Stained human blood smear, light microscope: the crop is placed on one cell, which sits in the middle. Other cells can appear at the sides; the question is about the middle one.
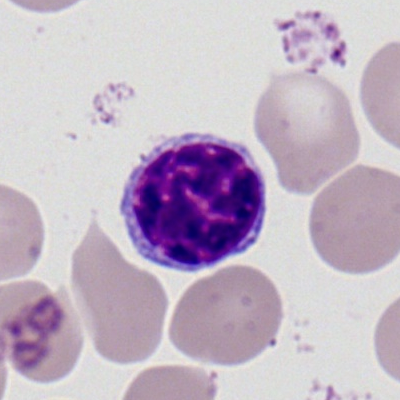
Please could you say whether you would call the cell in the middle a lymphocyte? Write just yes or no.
yes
